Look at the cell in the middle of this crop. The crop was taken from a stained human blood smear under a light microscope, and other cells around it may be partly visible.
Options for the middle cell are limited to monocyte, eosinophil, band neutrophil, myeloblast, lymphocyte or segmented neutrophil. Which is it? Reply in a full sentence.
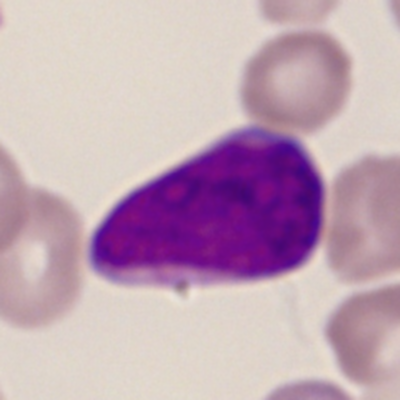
What sits at the centre of this crop is a myeloblast.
